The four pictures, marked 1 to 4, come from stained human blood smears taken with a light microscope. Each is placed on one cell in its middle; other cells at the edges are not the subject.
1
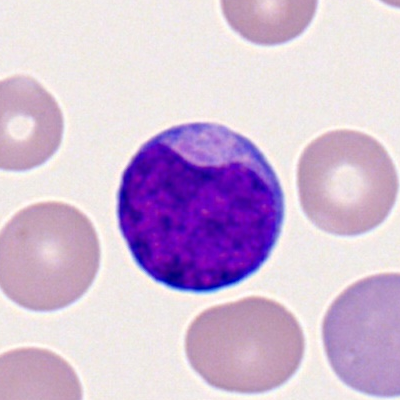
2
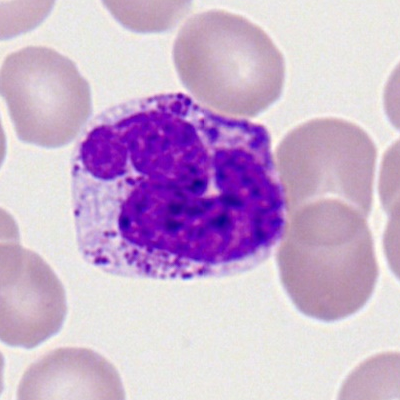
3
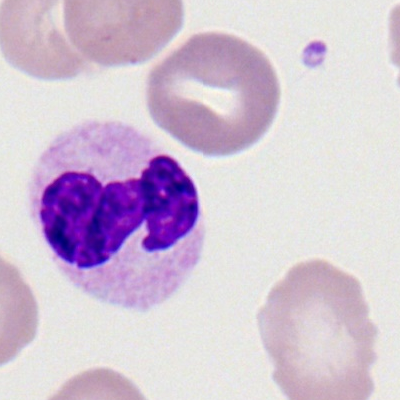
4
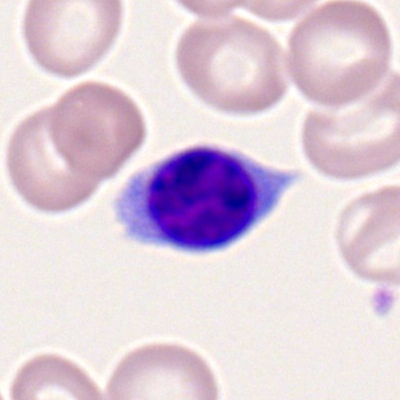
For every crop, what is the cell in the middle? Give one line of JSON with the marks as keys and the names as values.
{"1": "myeloblast", "2": "basophil", "3": "segmented neutrophil", "4": "lymphocyte"}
